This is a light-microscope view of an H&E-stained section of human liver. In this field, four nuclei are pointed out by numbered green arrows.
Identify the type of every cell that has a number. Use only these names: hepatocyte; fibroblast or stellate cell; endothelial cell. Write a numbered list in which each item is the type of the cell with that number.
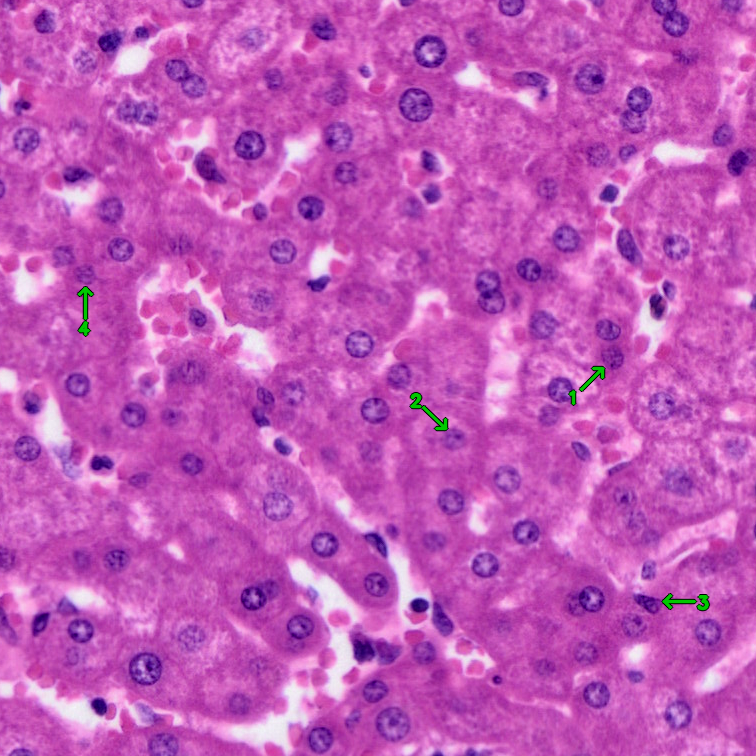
1. hepatocyte
2. hepatocyte
3. fibroblast or stellate cell
4. hepatocyte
